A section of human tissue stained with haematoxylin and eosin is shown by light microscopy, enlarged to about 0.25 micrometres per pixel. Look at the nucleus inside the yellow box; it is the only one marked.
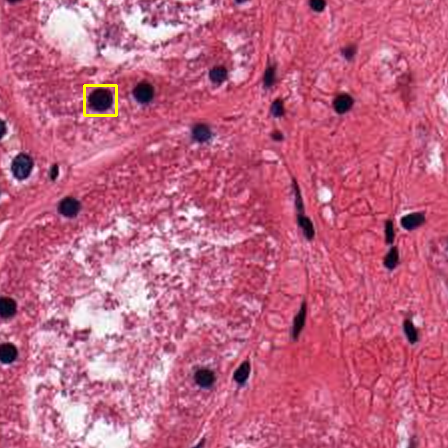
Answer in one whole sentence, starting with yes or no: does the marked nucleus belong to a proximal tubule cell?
Yes, within this field the marked nucleus is that of a proximal tubule cell.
